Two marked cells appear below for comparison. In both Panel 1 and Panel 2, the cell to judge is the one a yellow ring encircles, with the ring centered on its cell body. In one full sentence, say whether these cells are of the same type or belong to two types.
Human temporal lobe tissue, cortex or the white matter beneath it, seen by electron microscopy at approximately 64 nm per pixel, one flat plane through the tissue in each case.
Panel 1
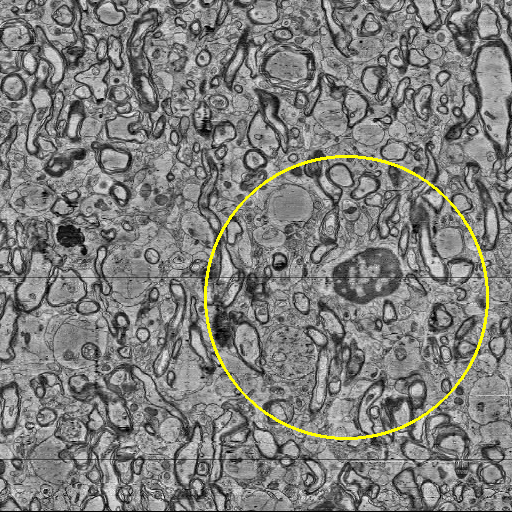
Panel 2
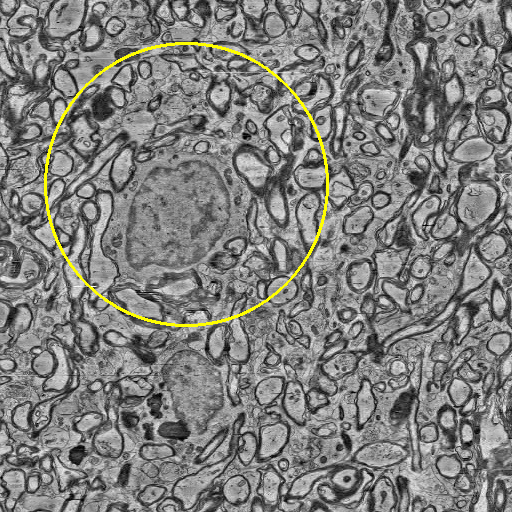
The cell centered in the Panel 1 ring and the one in Panel 2 belong to two types.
